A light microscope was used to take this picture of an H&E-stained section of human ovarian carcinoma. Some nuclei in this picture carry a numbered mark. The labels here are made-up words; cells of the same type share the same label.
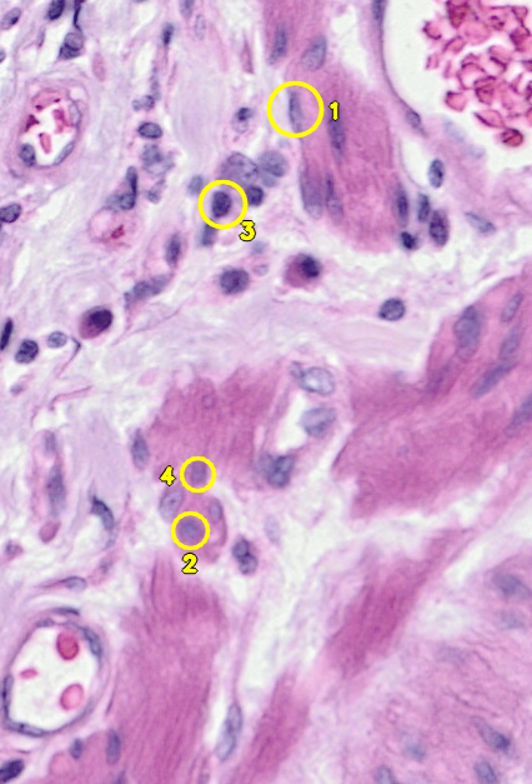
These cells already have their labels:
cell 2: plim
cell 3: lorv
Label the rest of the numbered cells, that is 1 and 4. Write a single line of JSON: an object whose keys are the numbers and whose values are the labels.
{"1": "plim", "4": "plim"}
